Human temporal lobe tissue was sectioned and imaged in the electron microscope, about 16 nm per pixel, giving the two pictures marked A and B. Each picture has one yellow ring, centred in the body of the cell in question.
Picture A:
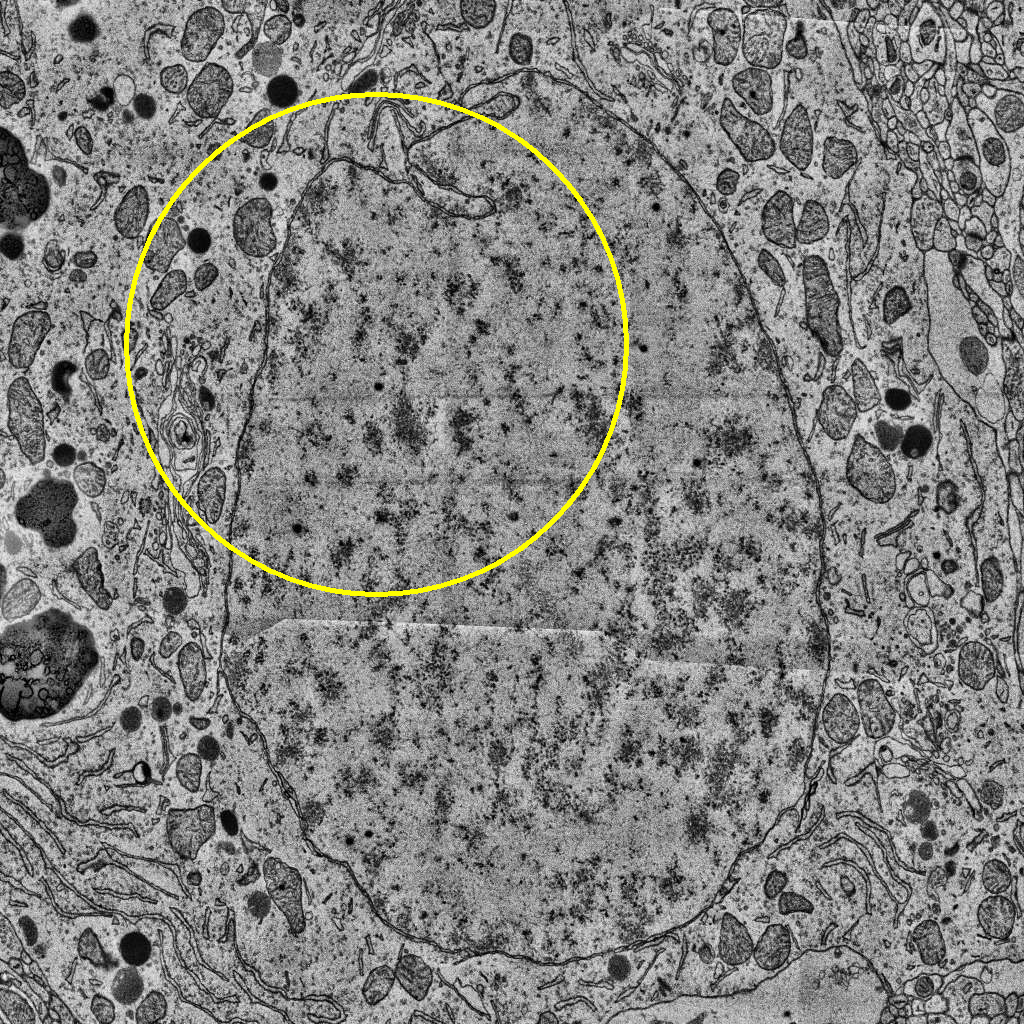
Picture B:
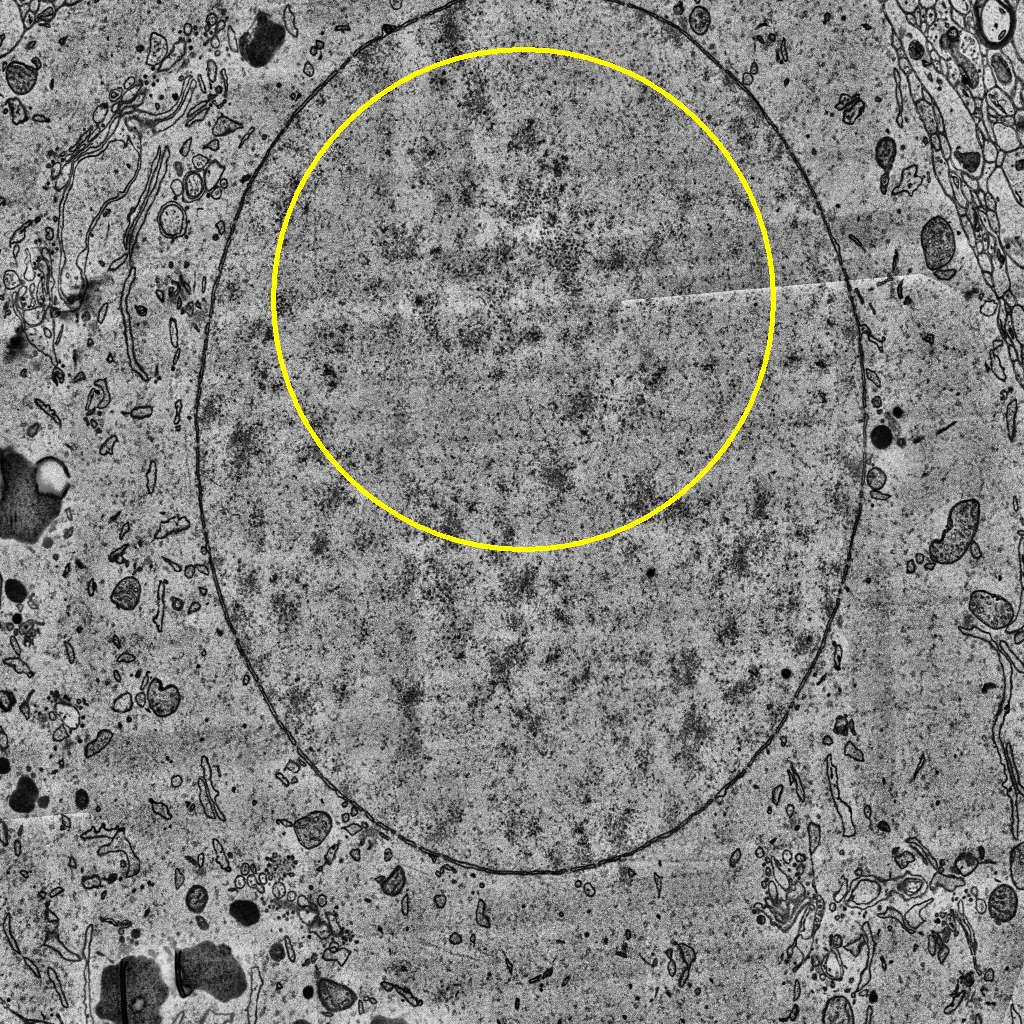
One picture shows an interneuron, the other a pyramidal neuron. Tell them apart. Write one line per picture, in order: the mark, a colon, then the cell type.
A: interneuron
B: pyramidal neuron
